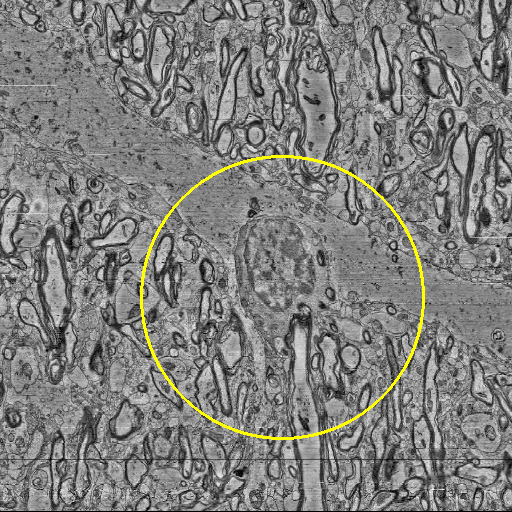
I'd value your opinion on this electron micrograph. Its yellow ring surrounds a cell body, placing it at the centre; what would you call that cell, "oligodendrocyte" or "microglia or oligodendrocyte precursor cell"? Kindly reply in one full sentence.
It is an oligodendrocyte that sits centred within the yellow ring in this micrograph.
